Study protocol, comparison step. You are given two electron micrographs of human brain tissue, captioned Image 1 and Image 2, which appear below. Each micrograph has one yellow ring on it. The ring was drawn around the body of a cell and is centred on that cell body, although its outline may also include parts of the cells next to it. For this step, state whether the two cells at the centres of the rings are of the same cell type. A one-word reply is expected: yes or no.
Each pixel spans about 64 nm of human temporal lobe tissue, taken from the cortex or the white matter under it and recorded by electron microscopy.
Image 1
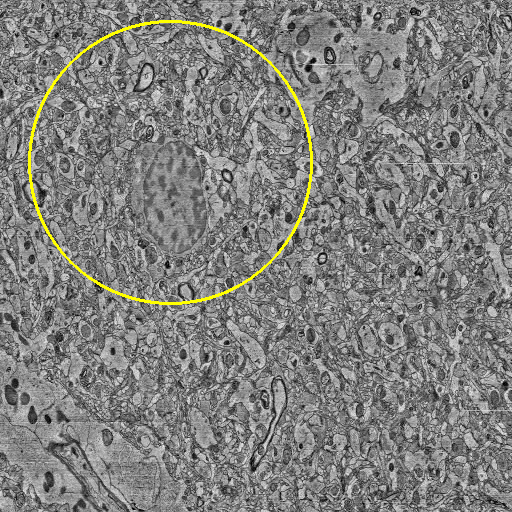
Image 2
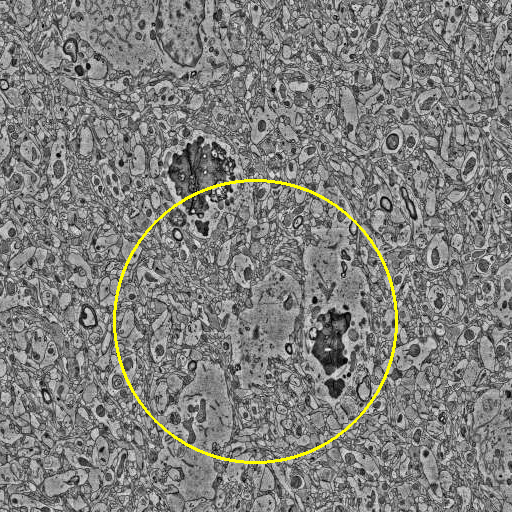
no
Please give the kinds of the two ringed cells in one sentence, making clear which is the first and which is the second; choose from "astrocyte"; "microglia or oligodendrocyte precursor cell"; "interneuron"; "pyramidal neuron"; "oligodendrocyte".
In the second picture the ringed cell is an astrocyte; in the first it is an oligodendrocyte.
